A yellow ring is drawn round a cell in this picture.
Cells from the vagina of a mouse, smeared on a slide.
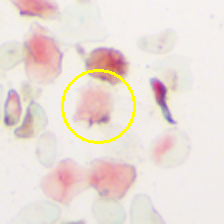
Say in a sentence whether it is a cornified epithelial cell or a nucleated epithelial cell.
The cell in the ring is a cornified epithelial cell.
